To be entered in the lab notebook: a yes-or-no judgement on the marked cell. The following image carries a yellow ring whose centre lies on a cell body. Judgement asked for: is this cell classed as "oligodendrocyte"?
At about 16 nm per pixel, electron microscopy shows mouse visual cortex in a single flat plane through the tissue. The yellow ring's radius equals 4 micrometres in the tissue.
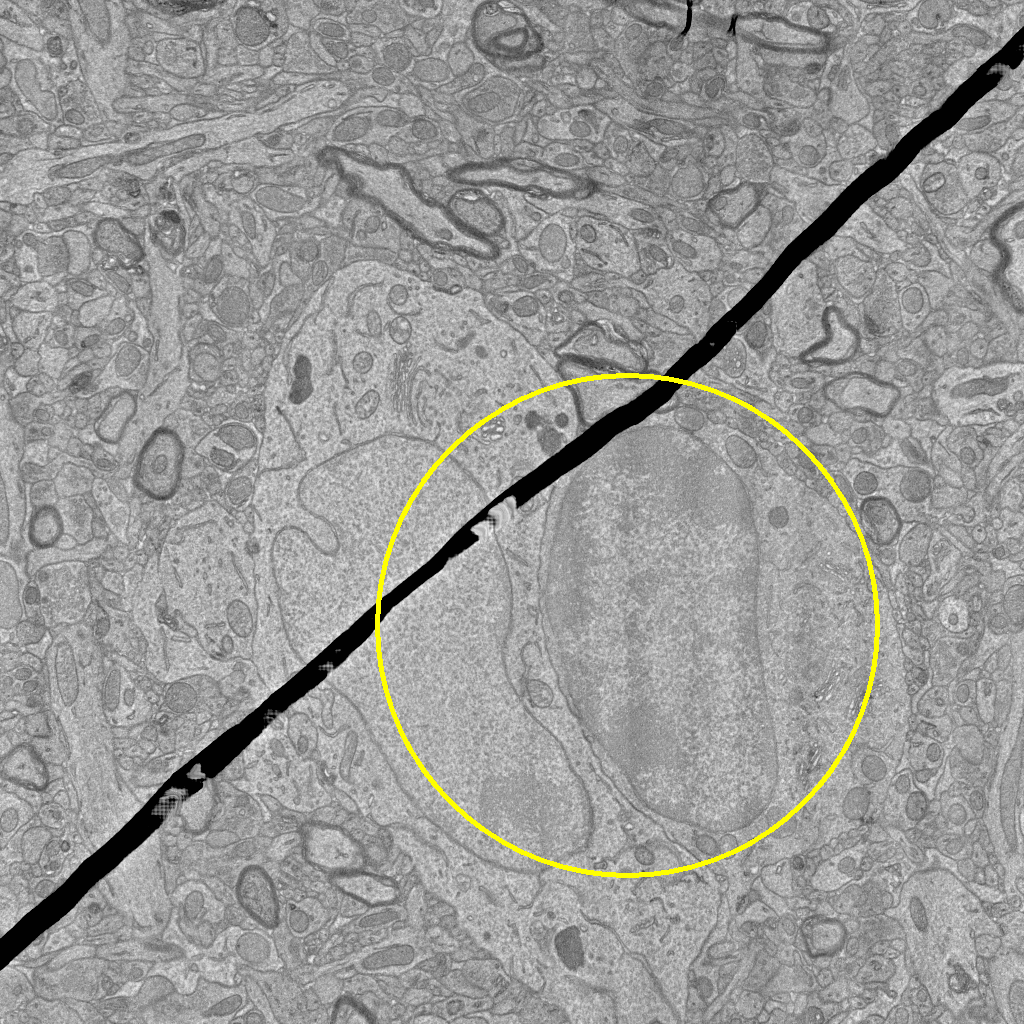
Yes, it is classed that way.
